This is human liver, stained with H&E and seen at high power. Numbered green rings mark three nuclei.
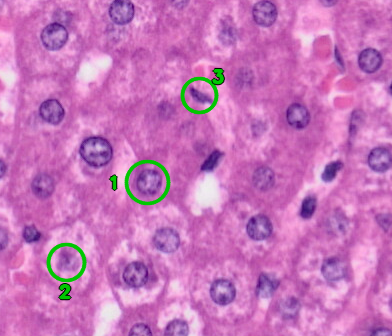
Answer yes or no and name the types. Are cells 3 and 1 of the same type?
No, cell 3 is an endothelial cell and cell 1 is a hepatocyte.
